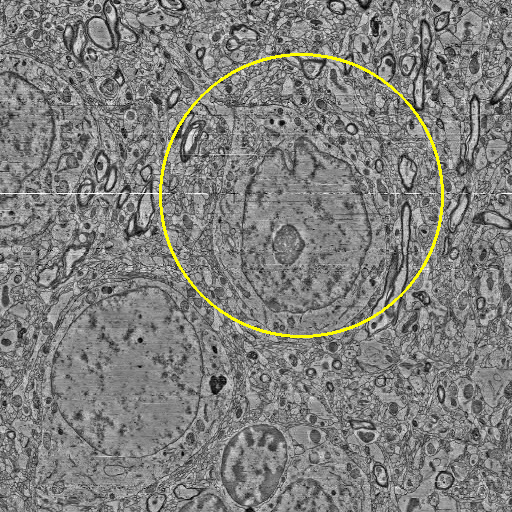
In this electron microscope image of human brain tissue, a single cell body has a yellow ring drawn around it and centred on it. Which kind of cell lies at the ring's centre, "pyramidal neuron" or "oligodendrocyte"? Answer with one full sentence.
It is a pyramidal neuron whose cell body lies at the centre of the yellow ring here.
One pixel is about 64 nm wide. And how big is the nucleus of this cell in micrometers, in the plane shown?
The nucleus appears roughly 11 by 8 micrometres in this plane.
